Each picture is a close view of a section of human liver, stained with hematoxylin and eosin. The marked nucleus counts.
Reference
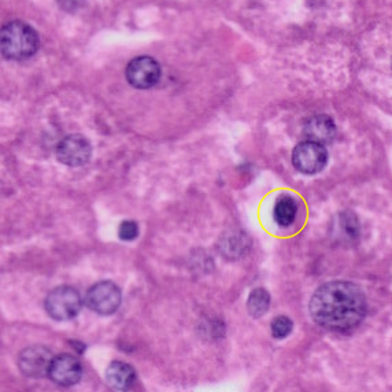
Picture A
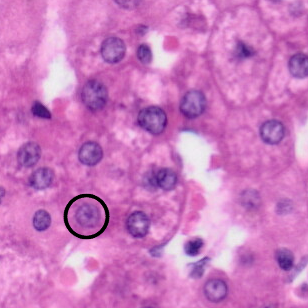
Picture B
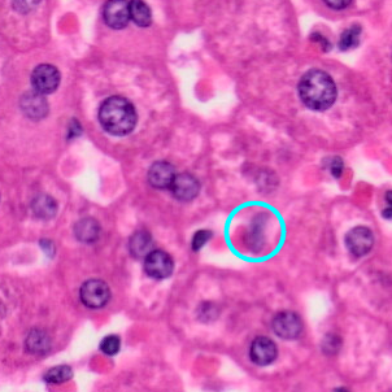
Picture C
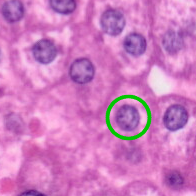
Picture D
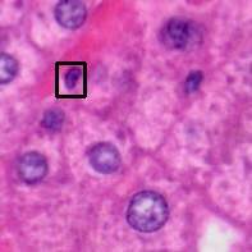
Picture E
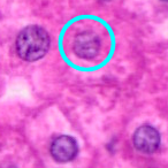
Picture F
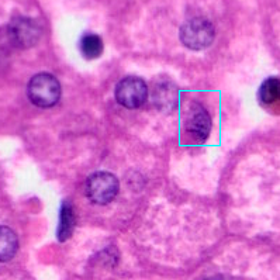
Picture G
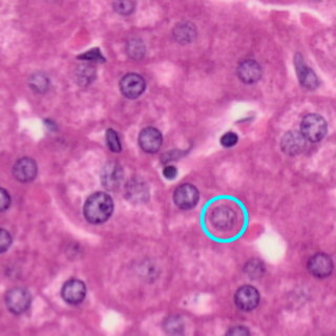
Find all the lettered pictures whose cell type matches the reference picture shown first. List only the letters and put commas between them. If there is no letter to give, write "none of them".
D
